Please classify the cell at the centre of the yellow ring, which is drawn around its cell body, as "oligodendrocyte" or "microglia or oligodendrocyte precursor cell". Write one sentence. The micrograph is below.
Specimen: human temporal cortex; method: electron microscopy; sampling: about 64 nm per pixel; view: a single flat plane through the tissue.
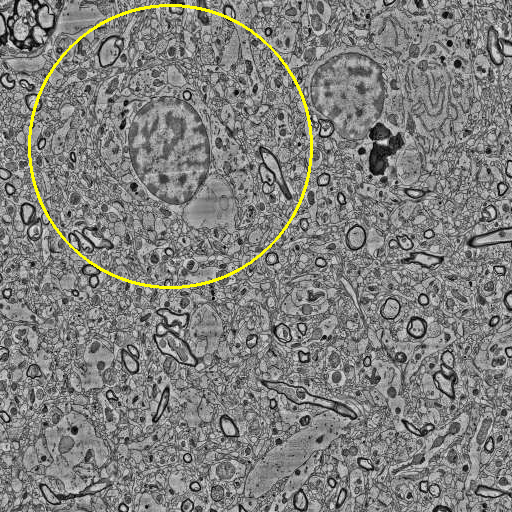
The cell at the ring's centre is classified as a microglial cell or oligodendrocyte precursor cell.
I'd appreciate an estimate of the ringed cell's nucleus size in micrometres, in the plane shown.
About 7 by 5 micrometres in this plane.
